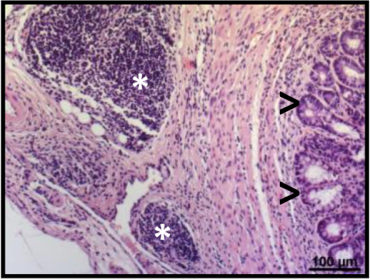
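Colon wall with mucosal crypts at the right and deeper layers to the left. Two dense, rounded aggregates of small, darkly purple-staining mononuclear cells lie in the subserosa, separated from the mucosa by pink fibrous and smooth muscle tissue. Several crypts at the right have widened, rounded lumens. Small clear spaces lie in the connective tissue near the aggregates.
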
